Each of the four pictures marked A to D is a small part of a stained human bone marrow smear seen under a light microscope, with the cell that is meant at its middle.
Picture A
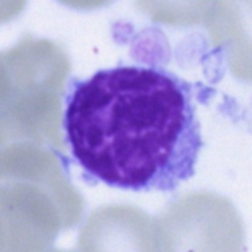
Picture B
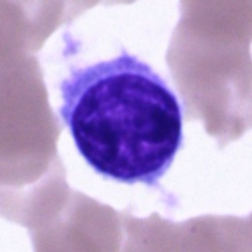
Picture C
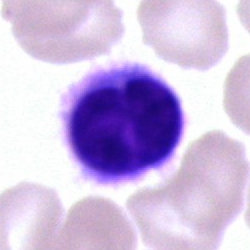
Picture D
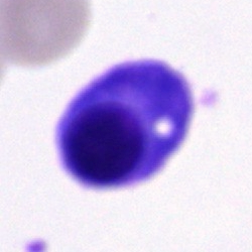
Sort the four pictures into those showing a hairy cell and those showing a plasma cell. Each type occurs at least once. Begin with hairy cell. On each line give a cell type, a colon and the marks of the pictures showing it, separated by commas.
hairy cell: A, B, C
plasma cell: D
